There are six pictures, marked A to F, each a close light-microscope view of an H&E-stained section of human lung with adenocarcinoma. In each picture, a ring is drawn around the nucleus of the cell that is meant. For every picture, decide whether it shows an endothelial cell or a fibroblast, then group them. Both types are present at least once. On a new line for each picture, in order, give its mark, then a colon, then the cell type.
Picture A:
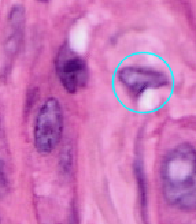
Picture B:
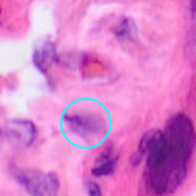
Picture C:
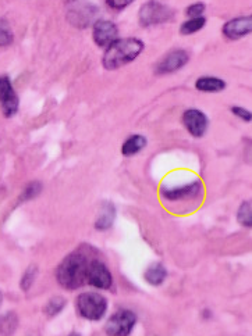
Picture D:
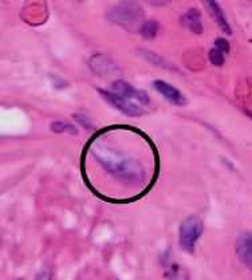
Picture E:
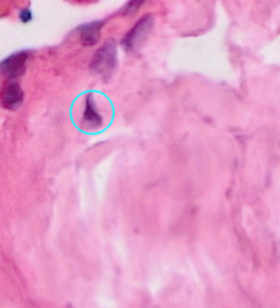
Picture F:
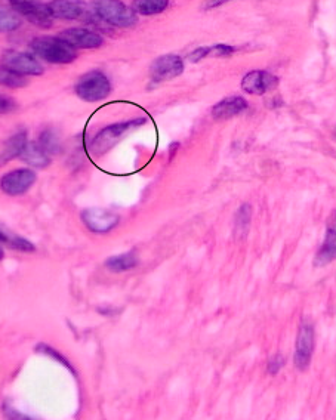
A: fibroblast
B: fibroblast
C: endothelial cell
D: endothelial cell
E: fibroblast
F: endothelial cell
